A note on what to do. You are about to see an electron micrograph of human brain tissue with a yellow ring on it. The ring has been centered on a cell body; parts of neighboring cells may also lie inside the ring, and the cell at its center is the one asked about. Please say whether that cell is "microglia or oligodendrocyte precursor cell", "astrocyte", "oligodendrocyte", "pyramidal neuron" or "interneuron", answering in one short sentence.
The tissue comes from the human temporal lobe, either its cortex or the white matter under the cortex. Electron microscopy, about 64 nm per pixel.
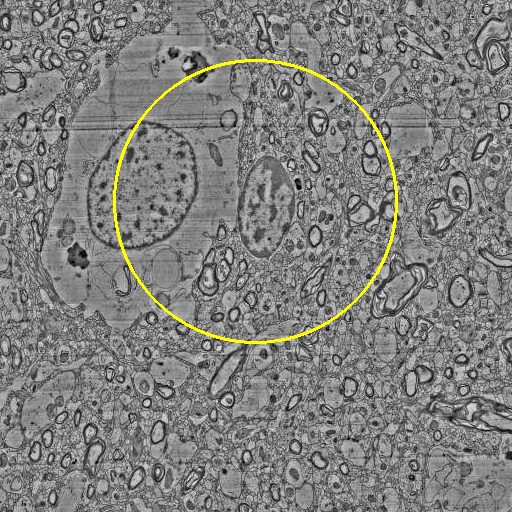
The yellow ring sits on a microglial cell or oligodendrocyte precursor cell.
